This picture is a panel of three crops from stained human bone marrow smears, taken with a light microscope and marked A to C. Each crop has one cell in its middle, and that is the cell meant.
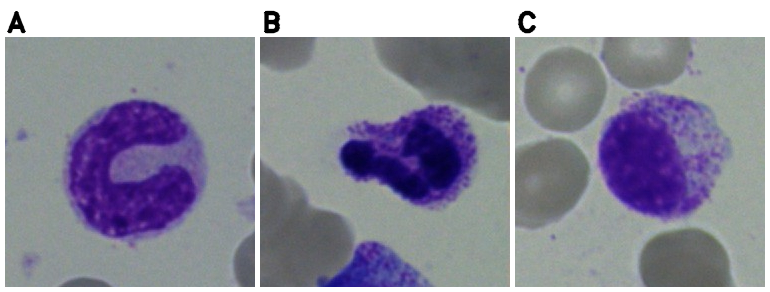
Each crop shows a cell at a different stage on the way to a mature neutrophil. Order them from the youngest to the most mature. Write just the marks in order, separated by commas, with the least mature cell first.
C, A, B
